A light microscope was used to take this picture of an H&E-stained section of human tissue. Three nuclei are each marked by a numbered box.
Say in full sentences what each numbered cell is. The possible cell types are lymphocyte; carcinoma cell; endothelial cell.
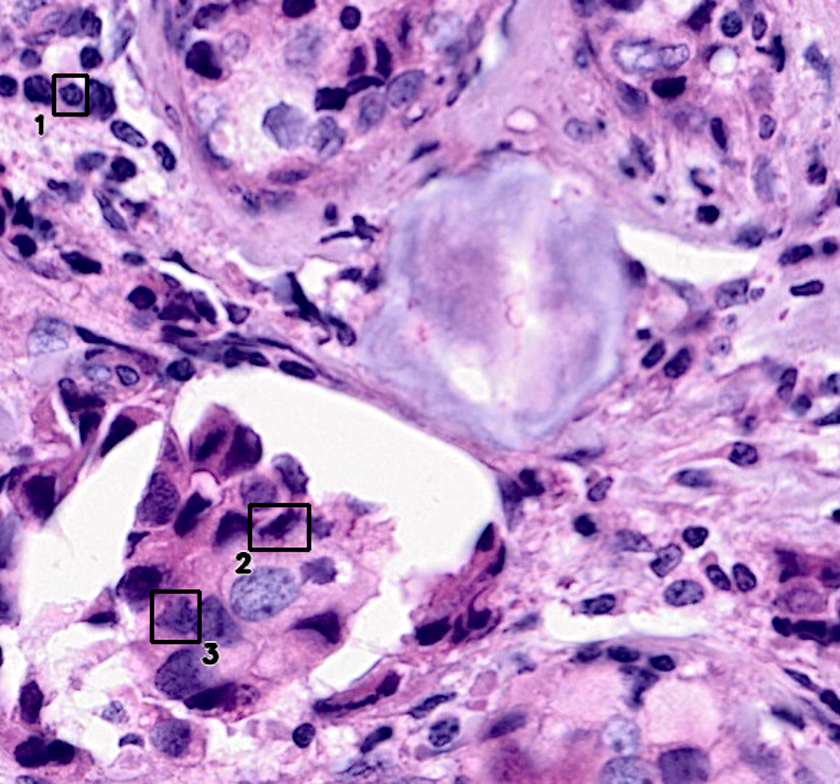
Cell 1 is a lymphocyte, cell 2 is a carcinoma cell and cell 3 is a carcinoma cell.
